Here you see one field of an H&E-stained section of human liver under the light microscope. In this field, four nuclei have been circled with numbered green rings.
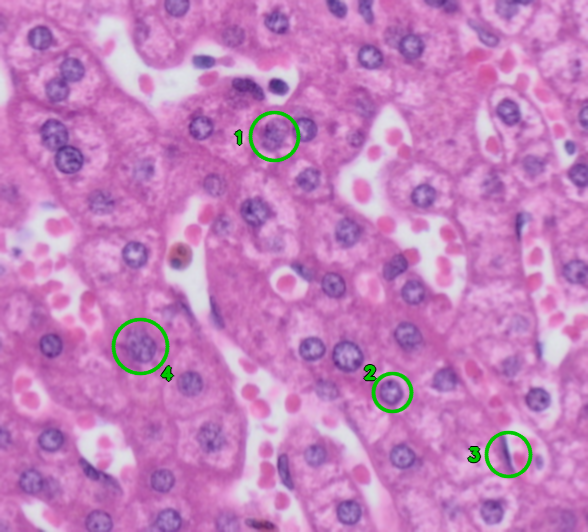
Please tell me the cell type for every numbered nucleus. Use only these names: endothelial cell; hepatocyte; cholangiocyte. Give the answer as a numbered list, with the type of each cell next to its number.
1. hepatocyte
2. hepatocyte
3. endothelial cell
4. hepatocyte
